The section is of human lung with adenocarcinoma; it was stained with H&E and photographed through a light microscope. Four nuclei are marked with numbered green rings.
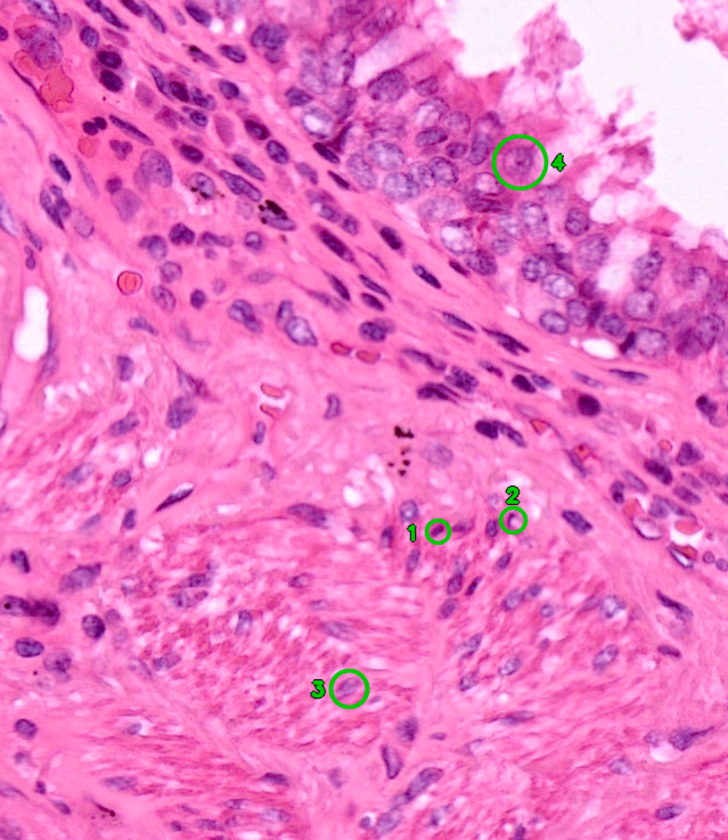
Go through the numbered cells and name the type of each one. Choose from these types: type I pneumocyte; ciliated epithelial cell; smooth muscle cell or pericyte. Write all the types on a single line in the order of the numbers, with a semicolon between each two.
smooth muscle cell or pericyte; smooth muscle cell or pericyte; smooth muscle cell or pericyte; ciliated epithelial cell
